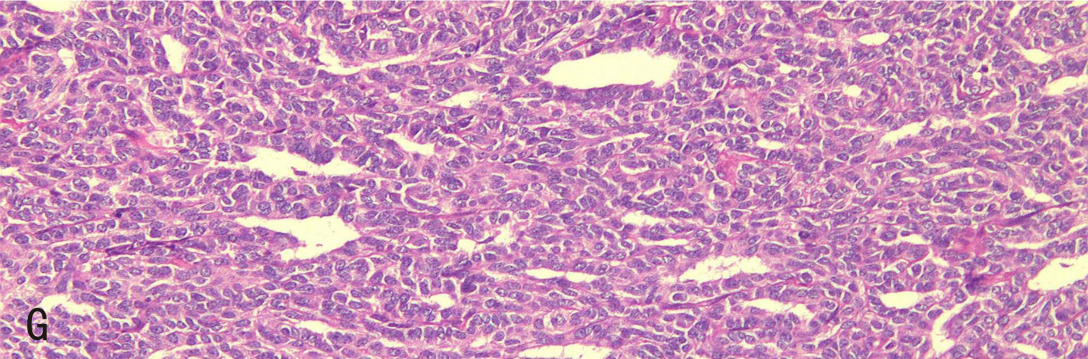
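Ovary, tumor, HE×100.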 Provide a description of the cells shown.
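The cytoplasm is scant and pale pink. Among the cells lie many small, empty, clear slit-like and irregular spaces, giving the sheet a loosely trabecular pattern. There is very little pink fibrous stroma between the cords. The nuclei look fairly uniform in size and shape across the whole field, without marked variation from cell to cell.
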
